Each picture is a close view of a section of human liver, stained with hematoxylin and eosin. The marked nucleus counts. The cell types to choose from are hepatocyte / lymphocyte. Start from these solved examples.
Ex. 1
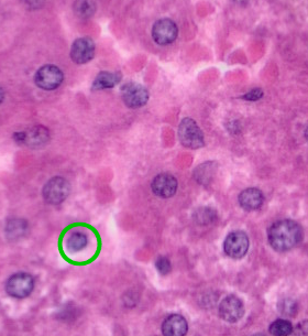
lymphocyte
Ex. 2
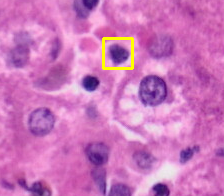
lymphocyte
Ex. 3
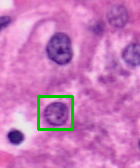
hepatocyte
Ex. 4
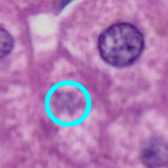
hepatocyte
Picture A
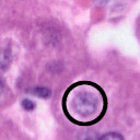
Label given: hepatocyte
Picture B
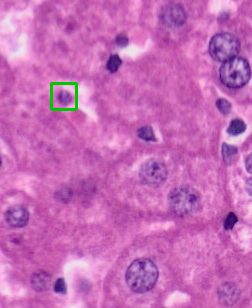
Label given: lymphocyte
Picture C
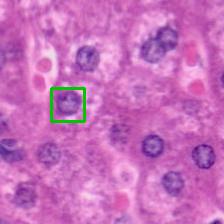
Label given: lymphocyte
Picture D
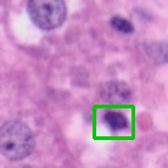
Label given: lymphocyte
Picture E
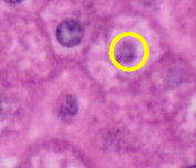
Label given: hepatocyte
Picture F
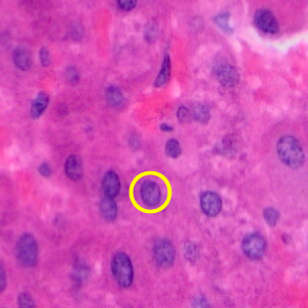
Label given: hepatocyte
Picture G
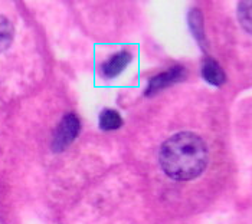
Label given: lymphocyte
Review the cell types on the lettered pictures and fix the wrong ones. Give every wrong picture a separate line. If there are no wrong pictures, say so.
C: hepatocyte, not lymphocyte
